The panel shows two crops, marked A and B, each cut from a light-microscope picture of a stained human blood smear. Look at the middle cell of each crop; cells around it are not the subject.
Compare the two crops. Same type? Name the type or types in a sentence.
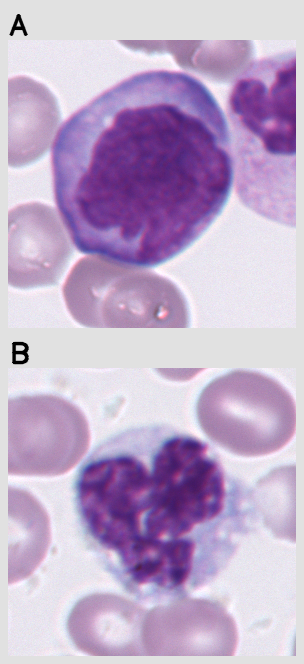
No, crop A and crop B contain, respectively, an atypical promyelocyte and a monocyte.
